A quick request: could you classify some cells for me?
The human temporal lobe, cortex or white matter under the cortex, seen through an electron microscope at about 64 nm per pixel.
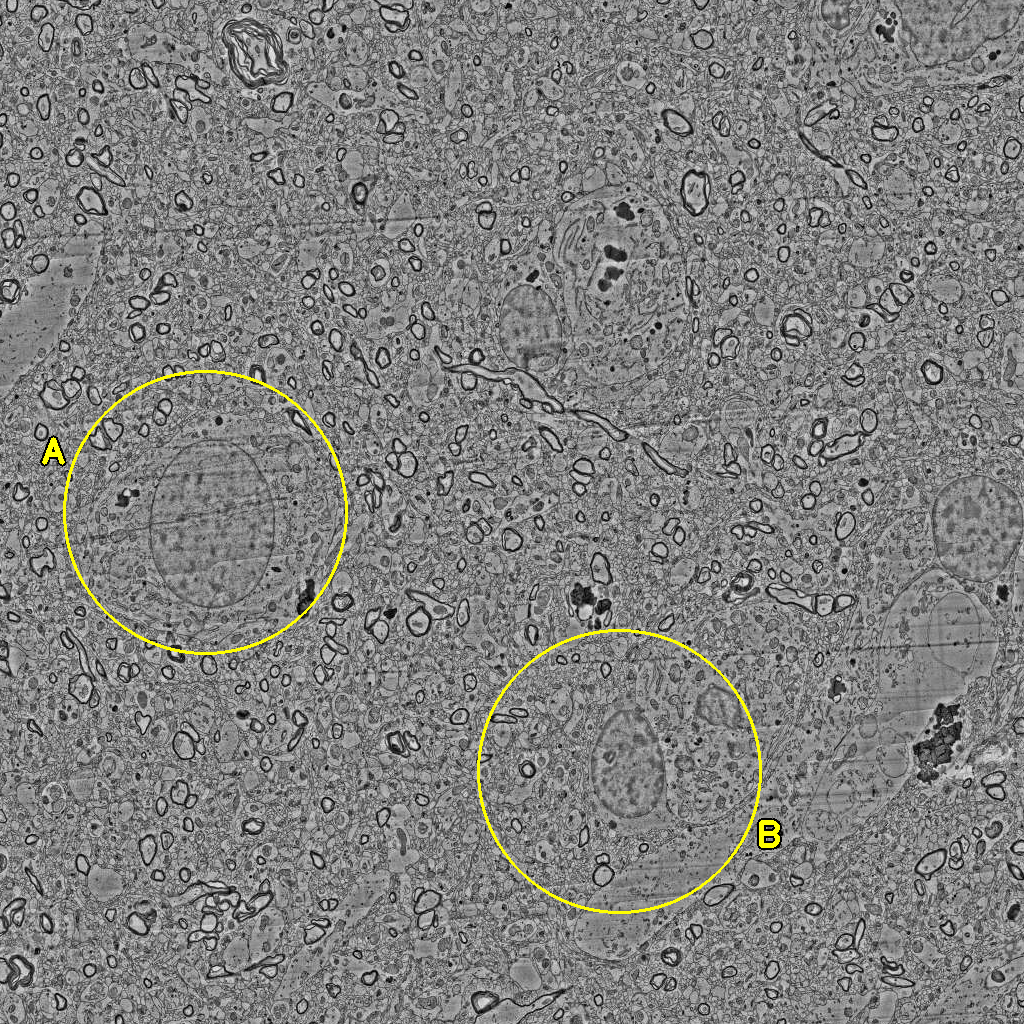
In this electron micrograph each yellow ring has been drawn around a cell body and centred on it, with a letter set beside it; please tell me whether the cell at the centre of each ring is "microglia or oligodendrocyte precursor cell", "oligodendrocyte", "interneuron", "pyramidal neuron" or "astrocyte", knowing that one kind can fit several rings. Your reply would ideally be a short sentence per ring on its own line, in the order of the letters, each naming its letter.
Ring A has an interneuron at its centre.
Ring B has an oligodendrocyte at its centre.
